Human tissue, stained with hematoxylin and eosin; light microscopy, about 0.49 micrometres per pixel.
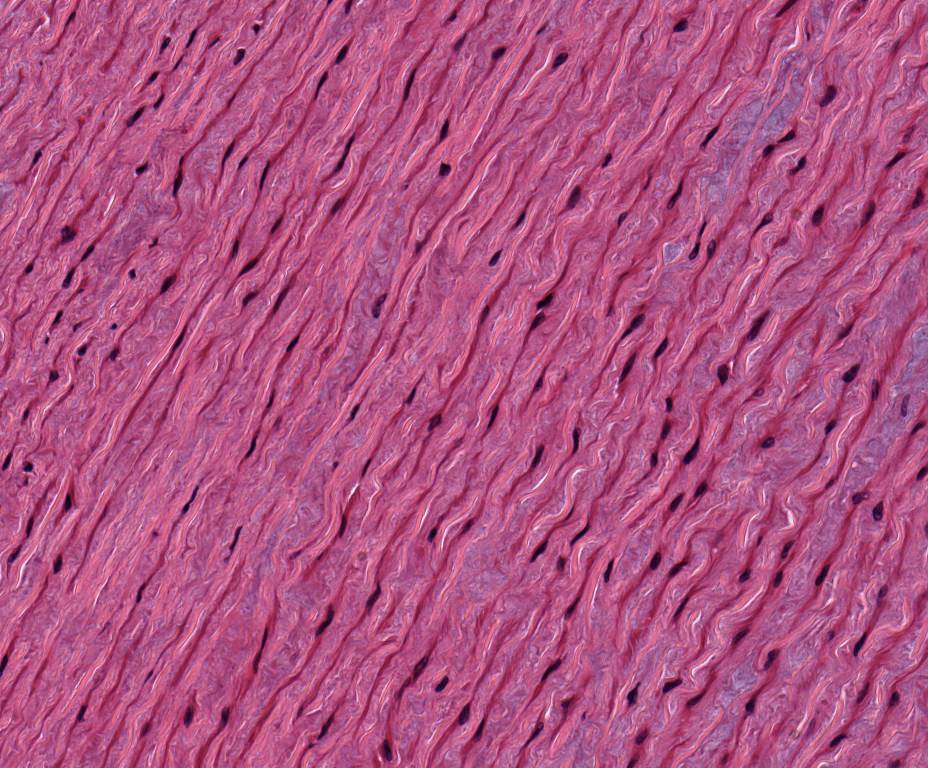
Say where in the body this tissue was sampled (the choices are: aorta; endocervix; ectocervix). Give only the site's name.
aorta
